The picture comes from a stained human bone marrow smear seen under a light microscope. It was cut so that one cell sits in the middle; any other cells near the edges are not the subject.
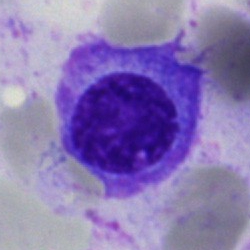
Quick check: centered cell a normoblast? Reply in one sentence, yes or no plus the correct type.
No, the centre of the crop contains a plasma cell rather than a normoblast.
